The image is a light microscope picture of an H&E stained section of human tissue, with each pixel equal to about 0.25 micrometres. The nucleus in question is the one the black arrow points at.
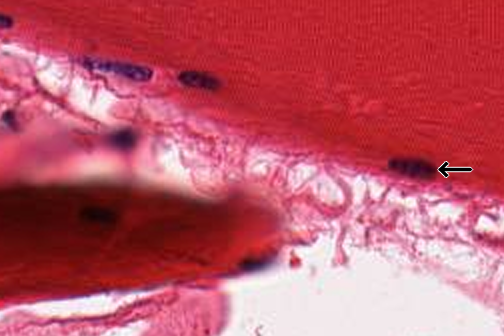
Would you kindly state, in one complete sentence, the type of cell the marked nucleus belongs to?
To a skeletal muscle fibre belongs the marked nucleus.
